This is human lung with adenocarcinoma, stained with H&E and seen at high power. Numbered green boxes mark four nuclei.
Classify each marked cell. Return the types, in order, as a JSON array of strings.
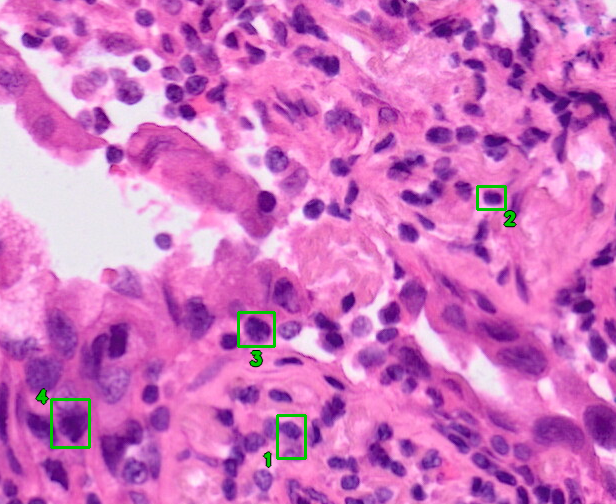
["lymphocyte", "lymphocyte", "lymphocyte", "carcinoma cell"]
